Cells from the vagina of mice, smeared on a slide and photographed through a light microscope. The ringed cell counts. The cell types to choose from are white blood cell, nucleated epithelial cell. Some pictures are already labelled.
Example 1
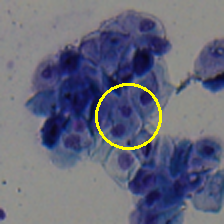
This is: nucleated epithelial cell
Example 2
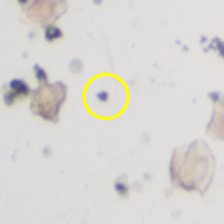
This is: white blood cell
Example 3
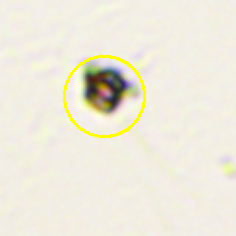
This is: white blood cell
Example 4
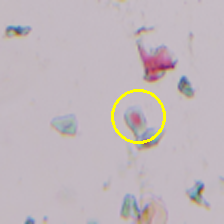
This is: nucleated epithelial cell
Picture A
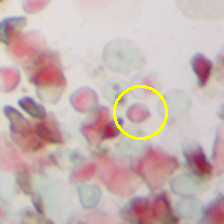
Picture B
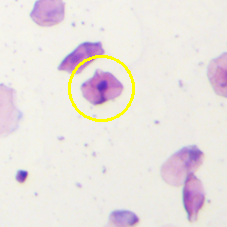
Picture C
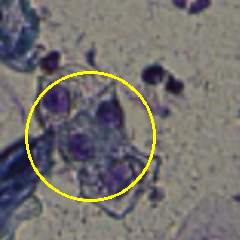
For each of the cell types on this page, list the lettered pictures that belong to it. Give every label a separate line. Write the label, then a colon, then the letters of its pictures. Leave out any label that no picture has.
nucleated epithelial cell: A, B, C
